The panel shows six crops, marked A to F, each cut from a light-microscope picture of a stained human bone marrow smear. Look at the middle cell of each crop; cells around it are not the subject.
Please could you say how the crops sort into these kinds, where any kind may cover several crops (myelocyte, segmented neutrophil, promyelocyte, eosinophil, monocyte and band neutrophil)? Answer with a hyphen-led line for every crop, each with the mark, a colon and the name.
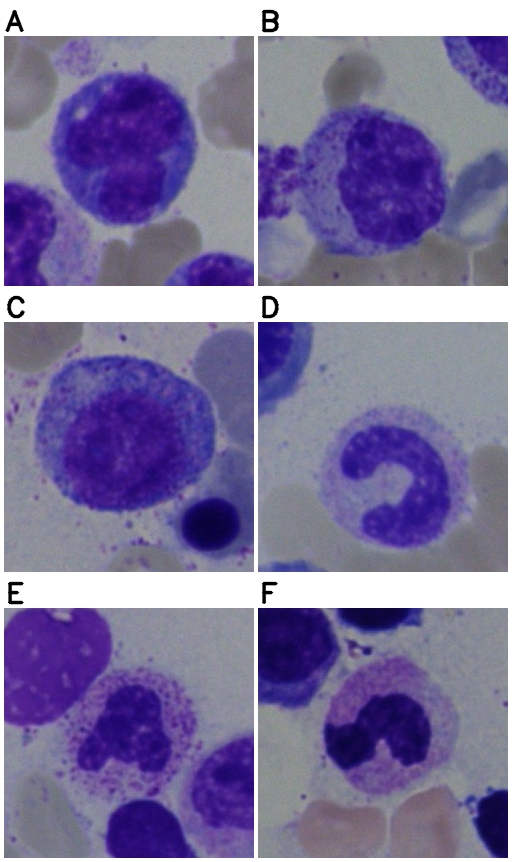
- A: monocyte
- B: myelocyte
- C: promyelocyte
- D: band neutrophil
- E: segmented neutrophil
- F: band neutrophil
